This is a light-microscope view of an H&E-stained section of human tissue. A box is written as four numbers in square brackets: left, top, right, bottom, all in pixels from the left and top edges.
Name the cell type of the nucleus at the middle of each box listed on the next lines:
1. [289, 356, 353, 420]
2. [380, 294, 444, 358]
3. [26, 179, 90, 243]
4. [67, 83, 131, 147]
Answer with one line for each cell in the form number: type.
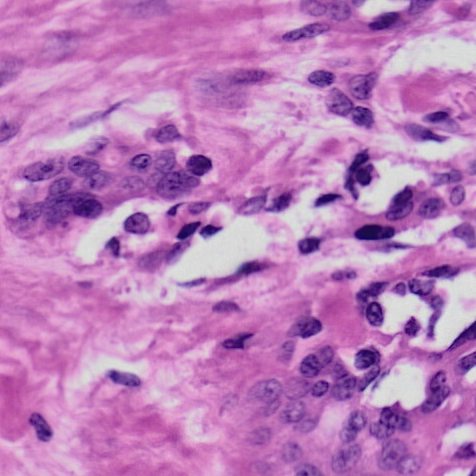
1: carcinoma cell
2: carcinoma cell
3: carcinoma cell
4: fibroblast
